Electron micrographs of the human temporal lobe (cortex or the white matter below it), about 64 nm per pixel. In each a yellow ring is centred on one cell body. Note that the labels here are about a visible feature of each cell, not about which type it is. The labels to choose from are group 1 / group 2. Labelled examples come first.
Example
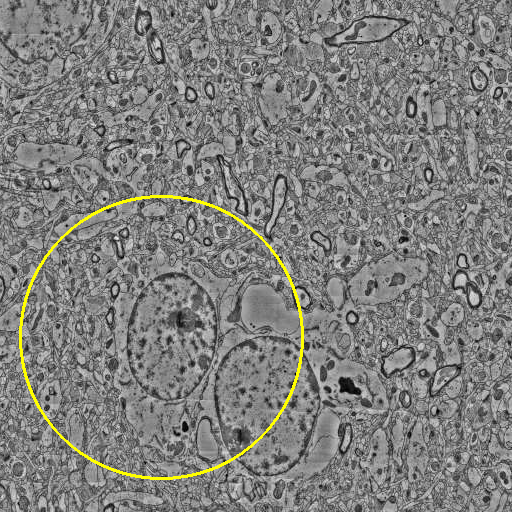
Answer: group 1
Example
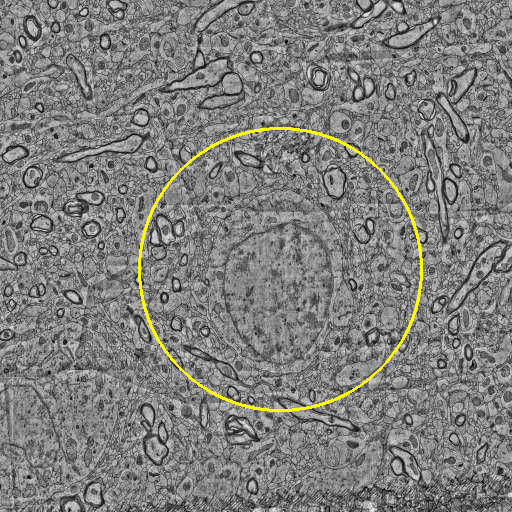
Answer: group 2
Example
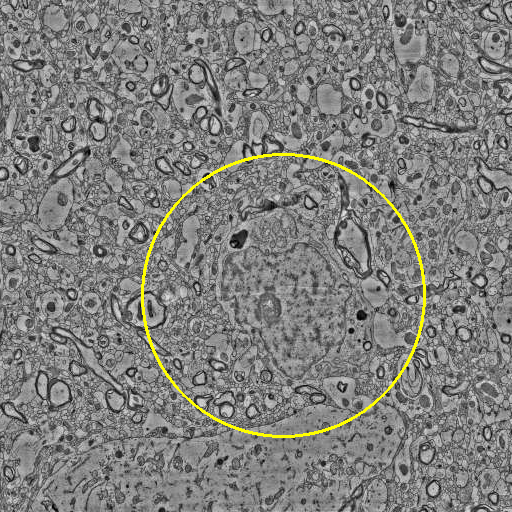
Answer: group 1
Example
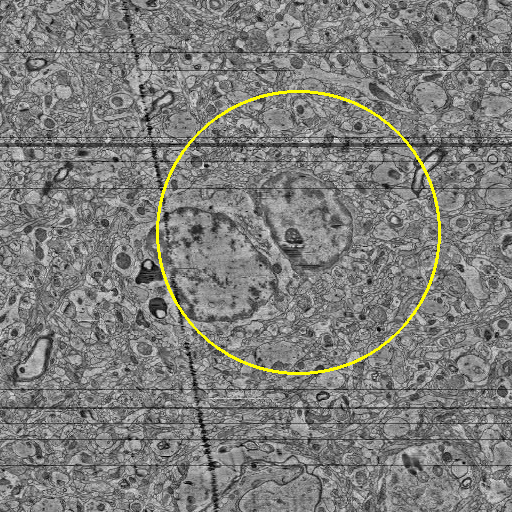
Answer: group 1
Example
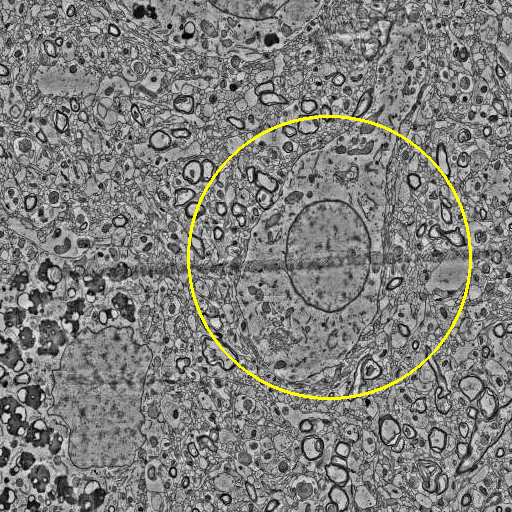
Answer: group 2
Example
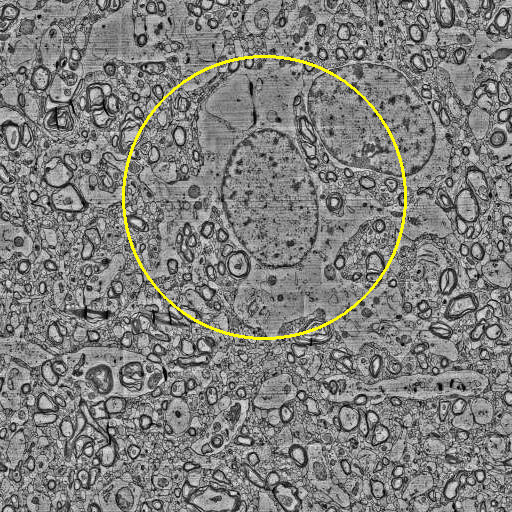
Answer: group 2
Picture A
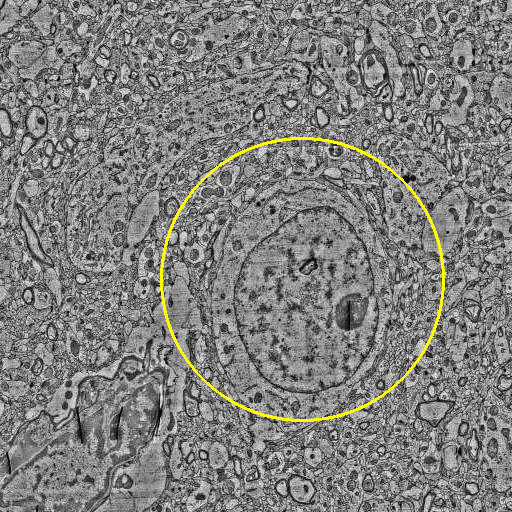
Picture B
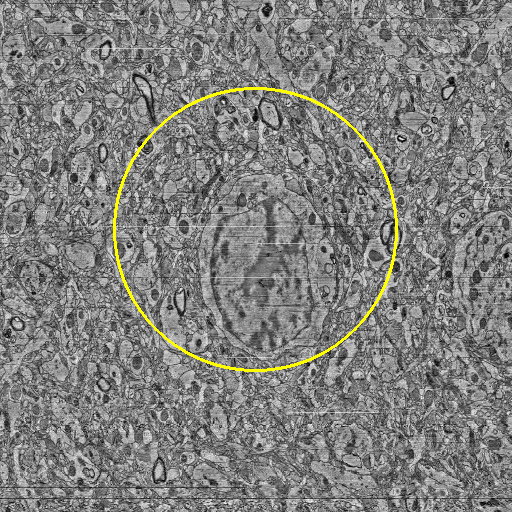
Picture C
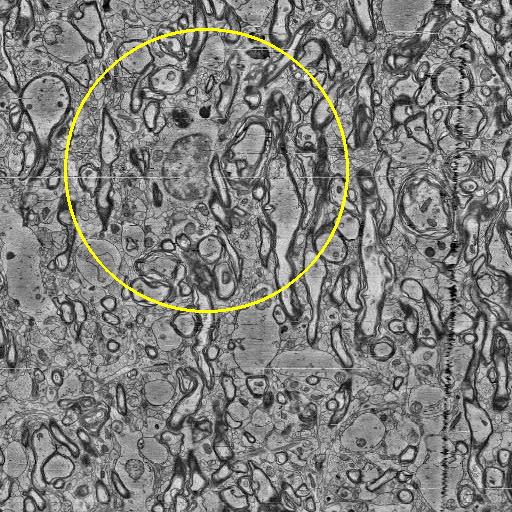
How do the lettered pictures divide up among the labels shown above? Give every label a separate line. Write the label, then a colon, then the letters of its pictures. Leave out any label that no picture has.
group 1: A
group 2: B, C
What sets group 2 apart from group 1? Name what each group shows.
group 2, no nucleolus seen; group 1, nucleolus seen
